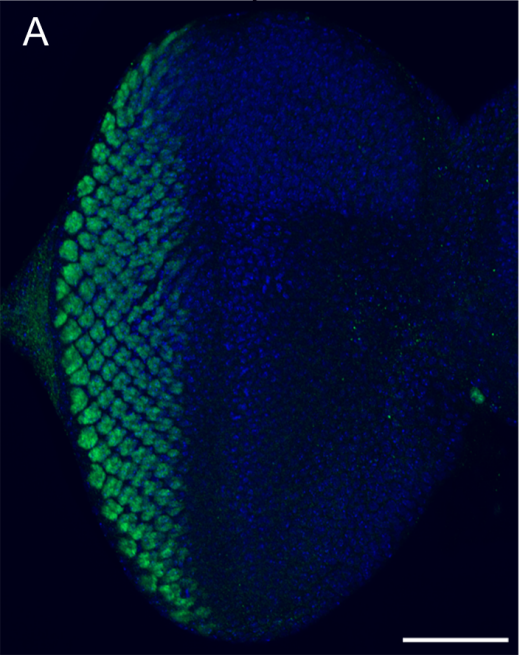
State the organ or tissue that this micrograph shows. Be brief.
Eye imaginal discs.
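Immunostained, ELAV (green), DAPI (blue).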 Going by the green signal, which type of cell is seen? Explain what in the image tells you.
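Photoreceptor. Green cells form repeated, evenly spaced clusters.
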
